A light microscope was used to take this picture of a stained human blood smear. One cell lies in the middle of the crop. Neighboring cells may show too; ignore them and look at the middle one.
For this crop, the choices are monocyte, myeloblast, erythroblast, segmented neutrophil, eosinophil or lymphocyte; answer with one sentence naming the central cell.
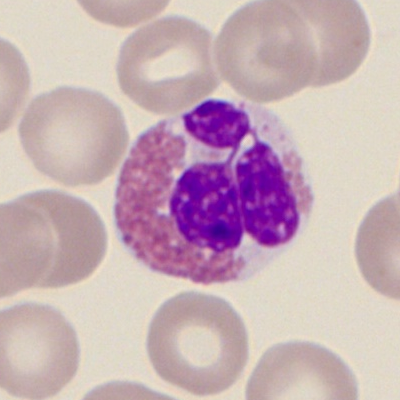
This crop is built around an eosinophil at its centre.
